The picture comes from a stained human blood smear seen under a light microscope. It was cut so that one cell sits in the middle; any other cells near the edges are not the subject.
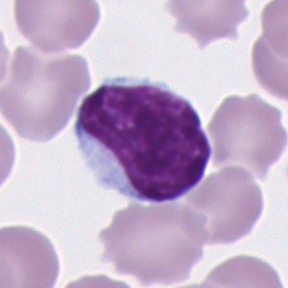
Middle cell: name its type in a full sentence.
By type, the central cell of the crop is a lymphocyte.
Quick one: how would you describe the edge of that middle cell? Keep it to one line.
The cell margin is rough and uneven, either ragged or drawn into projections.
